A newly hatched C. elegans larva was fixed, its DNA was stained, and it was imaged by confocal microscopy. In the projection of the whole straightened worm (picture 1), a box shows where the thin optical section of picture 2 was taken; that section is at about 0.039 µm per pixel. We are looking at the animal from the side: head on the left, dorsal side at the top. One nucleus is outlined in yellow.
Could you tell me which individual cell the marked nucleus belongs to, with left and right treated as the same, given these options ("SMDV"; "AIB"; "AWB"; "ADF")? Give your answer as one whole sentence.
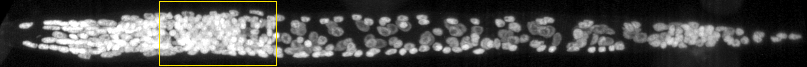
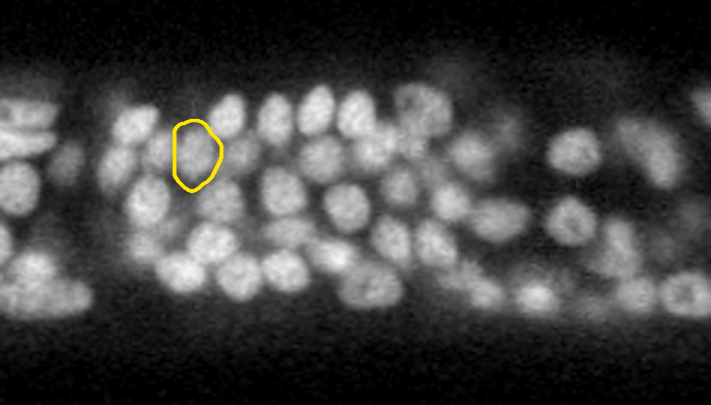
The nucleus is from ADF, a neuron.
